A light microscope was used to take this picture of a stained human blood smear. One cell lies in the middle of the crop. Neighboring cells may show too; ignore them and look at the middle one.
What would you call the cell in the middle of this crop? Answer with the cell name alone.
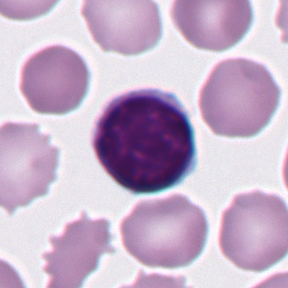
typical lymphocyte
